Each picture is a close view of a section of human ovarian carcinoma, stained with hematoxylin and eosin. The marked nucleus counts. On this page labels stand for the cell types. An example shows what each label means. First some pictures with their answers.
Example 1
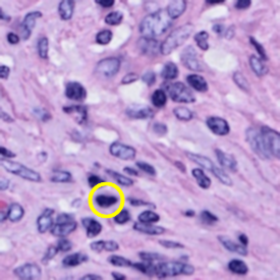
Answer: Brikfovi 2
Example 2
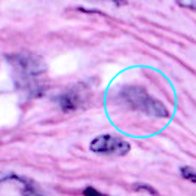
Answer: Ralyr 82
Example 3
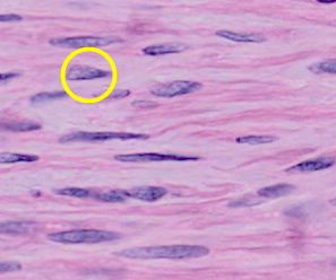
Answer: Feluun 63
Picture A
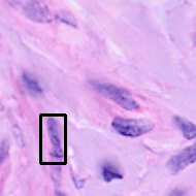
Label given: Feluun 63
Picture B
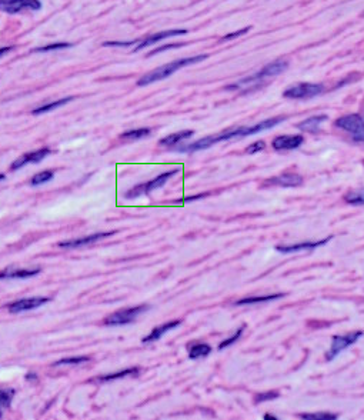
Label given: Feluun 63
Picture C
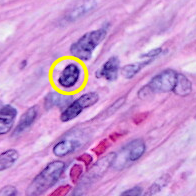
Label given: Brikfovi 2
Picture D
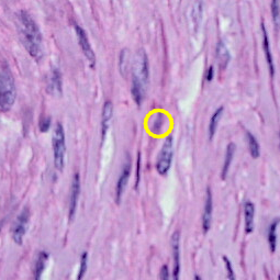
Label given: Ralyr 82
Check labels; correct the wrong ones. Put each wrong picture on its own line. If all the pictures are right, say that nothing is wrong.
B: not Feluun 63 but Ralyr 82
